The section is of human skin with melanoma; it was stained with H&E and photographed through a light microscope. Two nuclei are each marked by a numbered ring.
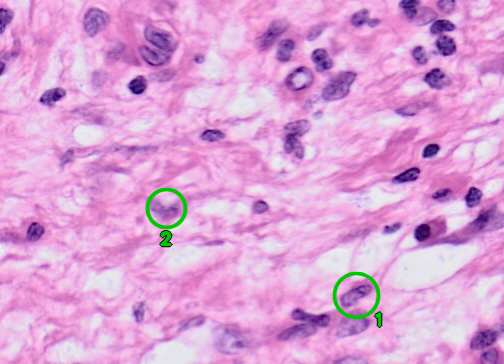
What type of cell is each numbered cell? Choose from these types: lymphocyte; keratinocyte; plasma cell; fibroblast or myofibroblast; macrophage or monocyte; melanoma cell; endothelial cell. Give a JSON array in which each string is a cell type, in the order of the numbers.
["macrophage or monocyte", "fibroblast or myofibroblast"]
